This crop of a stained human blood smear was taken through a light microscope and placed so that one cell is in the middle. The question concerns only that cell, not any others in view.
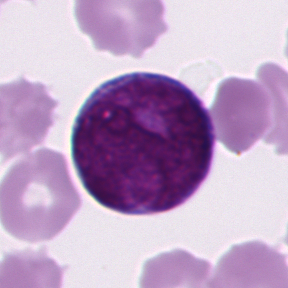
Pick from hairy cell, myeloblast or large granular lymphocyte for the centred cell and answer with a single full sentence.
Classification of the middle cell gives a myeloblast.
